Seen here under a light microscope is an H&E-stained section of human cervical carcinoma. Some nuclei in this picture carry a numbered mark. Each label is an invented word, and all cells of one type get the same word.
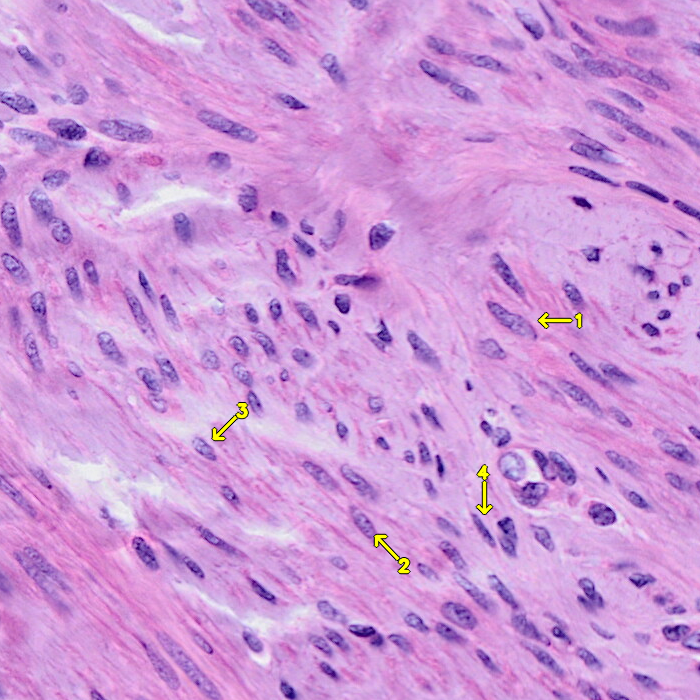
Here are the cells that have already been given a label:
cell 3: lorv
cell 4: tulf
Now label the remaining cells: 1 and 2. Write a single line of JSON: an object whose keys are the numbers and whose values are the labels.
{"1": "lorv", "2": "lorv"}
